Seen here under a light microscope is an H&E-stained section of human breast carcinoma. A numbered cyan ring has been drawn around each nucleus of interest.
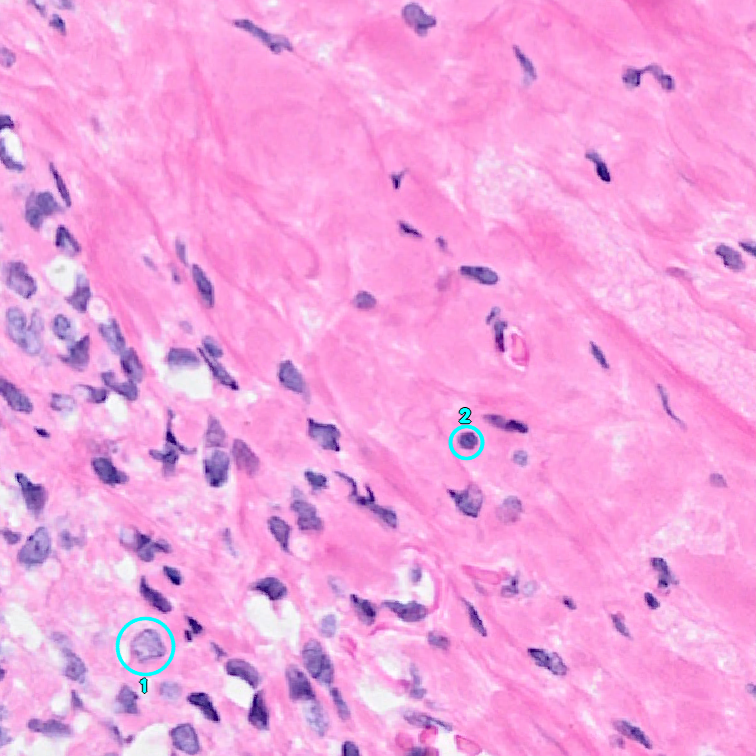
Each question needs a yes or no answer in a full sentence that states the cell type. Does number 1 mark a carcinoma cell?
Yes, that is right: the cell labelled 1 is a carcinoma cell.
